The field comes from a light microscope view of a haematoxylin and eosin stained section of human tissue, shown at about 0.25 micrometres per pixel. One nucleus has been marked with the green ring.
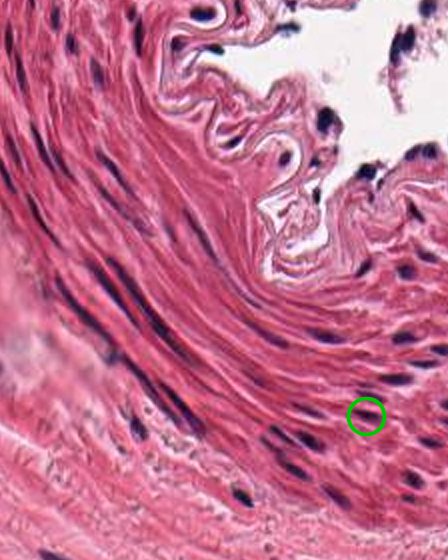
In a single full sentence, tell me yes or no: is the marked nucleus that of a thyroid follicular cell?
No, the marked nucleus is not housed in a thyroid follicular cell.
